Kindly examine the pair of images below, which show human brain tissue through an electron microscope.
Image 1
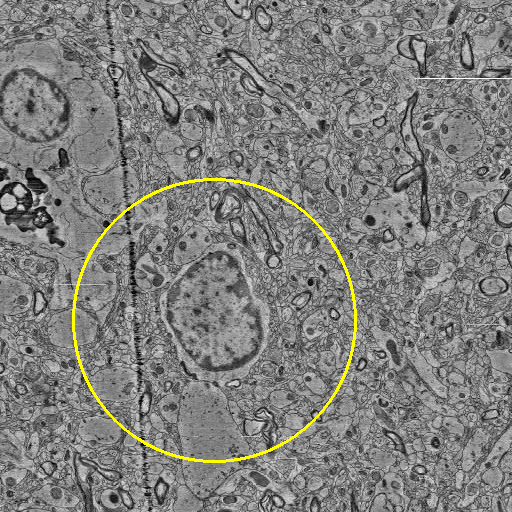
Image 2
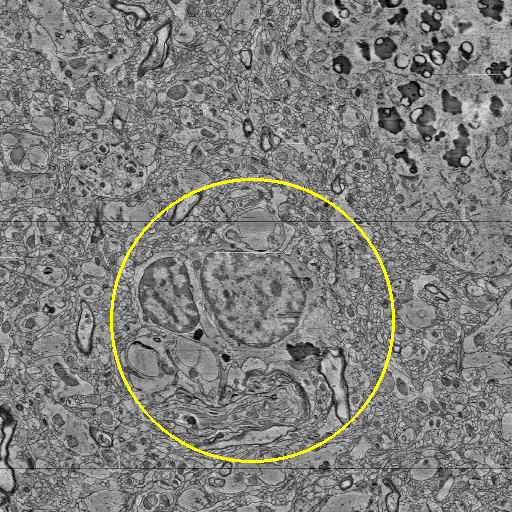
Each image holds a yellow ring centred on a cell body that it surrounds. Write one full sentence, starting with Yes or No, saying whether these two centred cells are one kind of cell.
No, the cells at the centres of the yellow rings belong to two kinds of cell.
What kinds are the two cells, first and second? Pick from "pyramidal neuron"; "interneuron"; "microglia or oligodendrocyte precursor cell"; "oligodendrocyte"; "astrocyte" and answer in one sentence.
The second picture holds an oligodendrocyte in its ring, and the first holds a microglial cell or oligodendrocyte precursor cell.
